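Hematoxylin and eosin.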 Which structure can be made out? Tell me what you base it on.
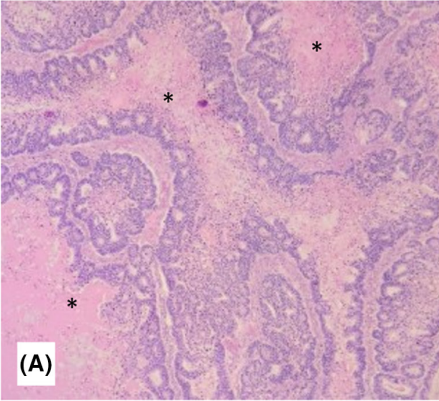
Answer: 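Large and irregular glandular structures. Large glands with irregular, folded outlines. Glands lined by crowded purple-staining epithelium.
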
